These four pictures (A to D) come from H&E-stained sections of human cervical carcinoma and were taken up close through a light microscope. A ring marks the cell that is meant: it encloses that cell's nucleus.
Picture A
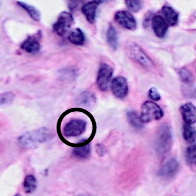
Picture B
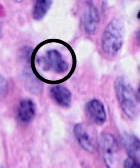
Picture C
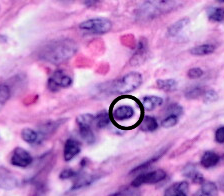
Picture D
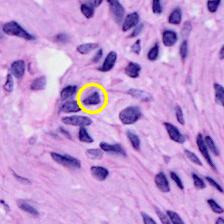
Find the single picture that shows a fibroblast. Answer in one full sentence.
Picture D shows the fibroblast.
